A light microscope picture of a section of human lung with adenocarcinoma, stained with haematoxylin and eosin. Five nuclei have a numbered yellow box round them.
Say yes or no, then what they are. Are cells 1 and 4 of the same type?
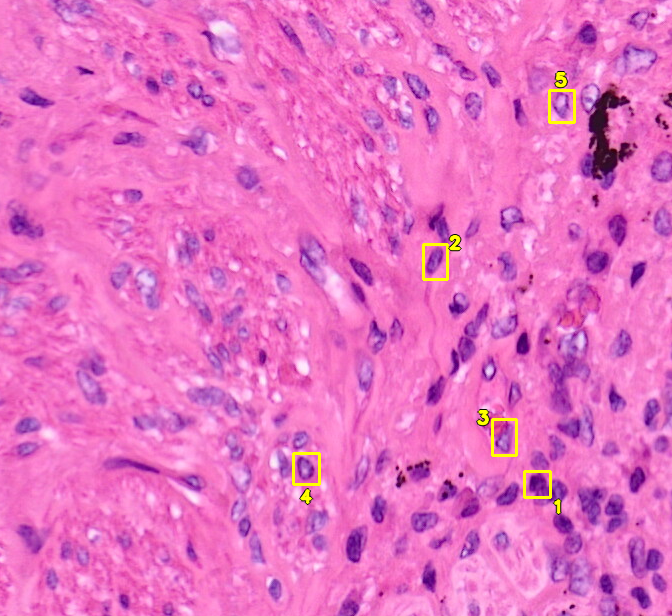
No, cell 1 is a lymphocyte, and cell 4, on the other hand, is a mast cell.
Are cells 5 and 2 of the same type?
No, here cell 5 is a fibroblast, whereas cell 2 is a mast cell.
